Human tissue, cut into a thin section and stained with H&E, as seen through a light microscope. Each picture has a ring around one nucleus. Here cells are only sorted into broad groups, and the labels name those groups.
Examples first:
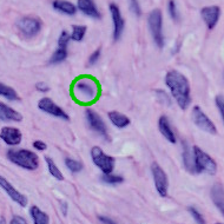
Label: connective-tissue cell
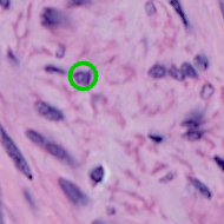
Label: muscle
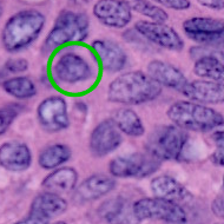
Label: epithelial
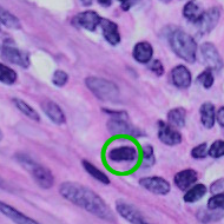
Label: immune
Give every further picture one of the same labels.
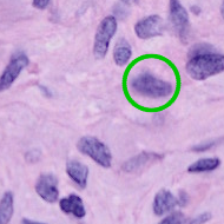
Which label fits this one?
connective-tissue cell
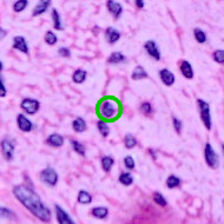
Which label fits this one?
muscle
